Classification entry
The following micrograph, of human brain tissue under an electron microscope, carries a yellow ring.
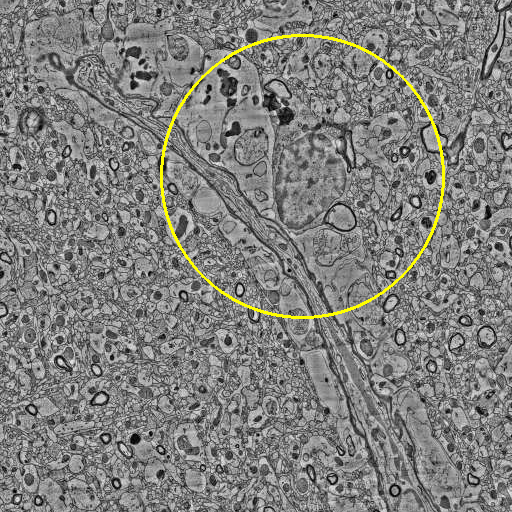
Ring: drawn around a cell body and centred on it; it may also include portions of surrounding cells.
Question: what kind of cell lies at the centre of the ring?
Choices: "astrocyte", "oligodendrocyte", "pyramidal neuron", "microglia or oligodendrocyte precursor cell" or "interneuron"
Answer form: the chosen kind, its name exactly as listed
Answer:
oligodendrocyte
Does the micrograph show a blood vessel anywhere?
Yes, there is a blood vessel in the image.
